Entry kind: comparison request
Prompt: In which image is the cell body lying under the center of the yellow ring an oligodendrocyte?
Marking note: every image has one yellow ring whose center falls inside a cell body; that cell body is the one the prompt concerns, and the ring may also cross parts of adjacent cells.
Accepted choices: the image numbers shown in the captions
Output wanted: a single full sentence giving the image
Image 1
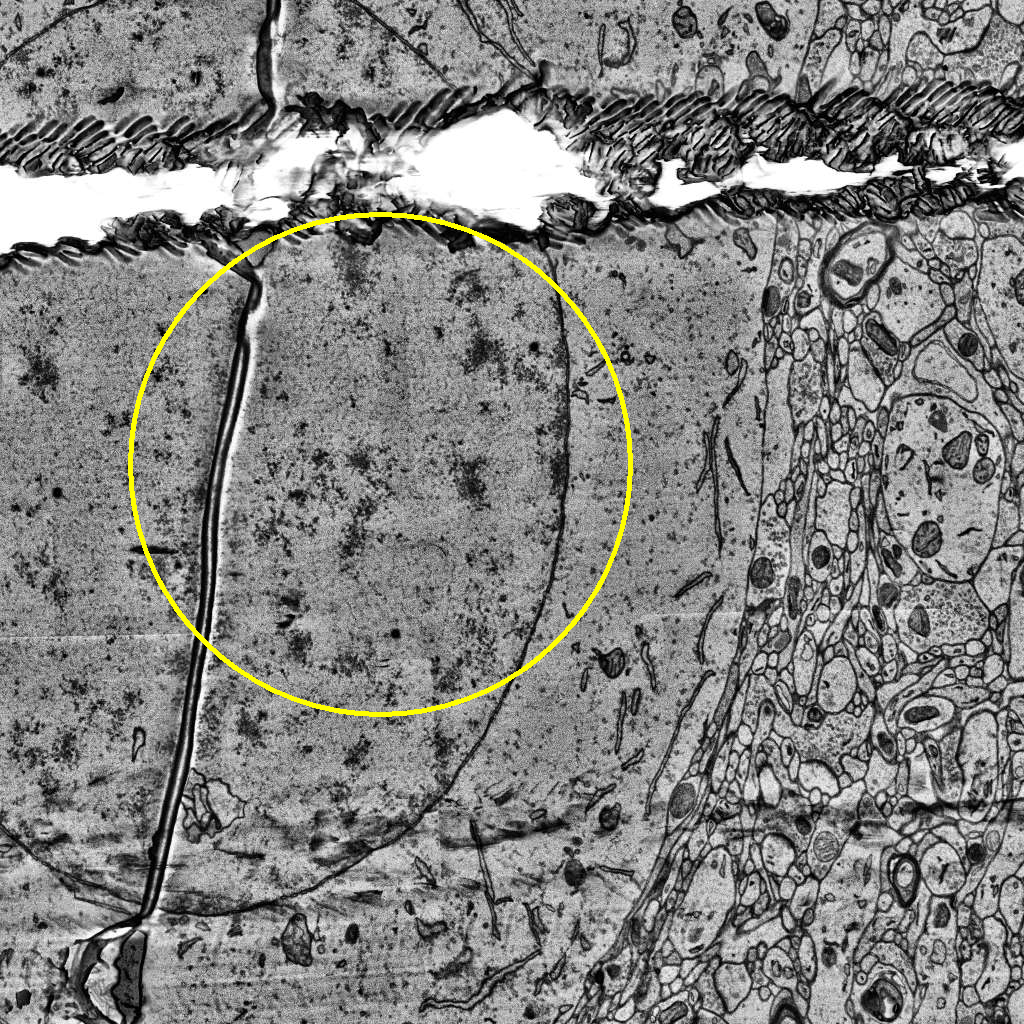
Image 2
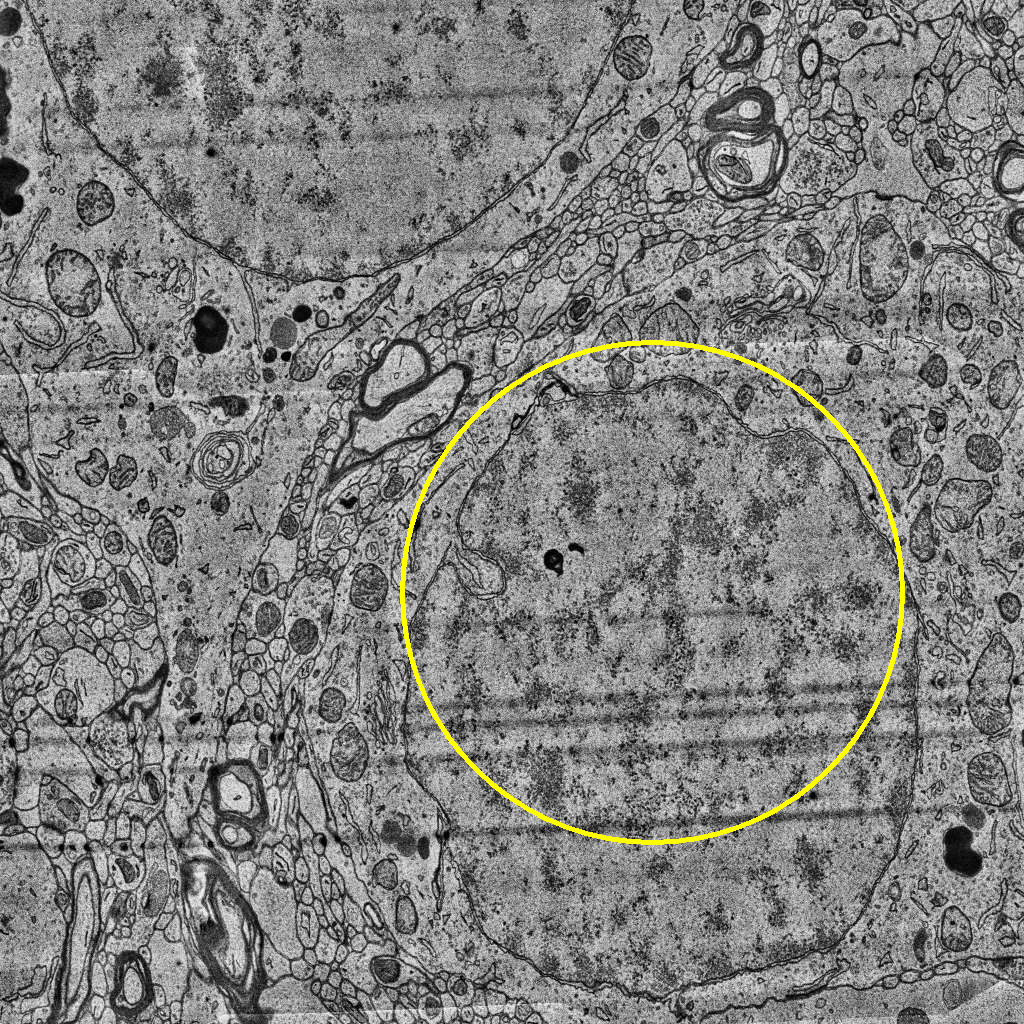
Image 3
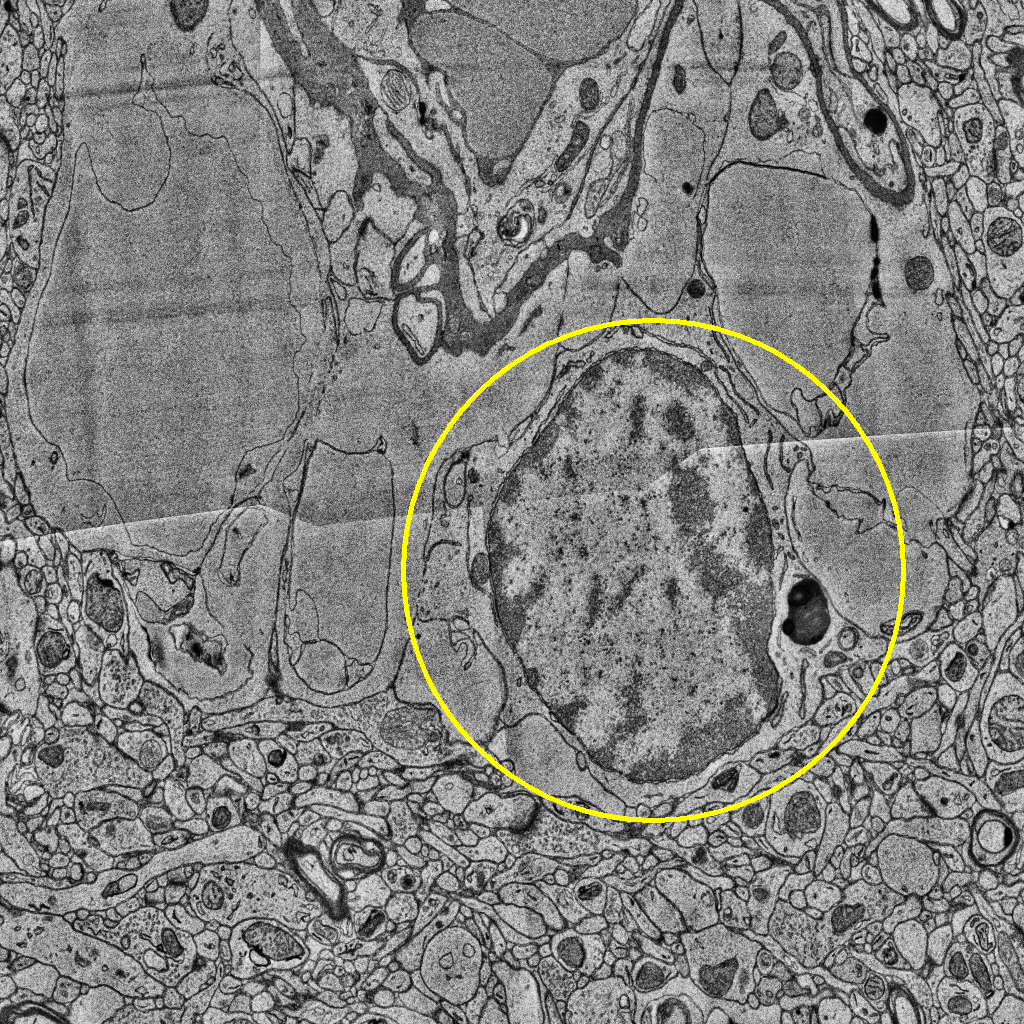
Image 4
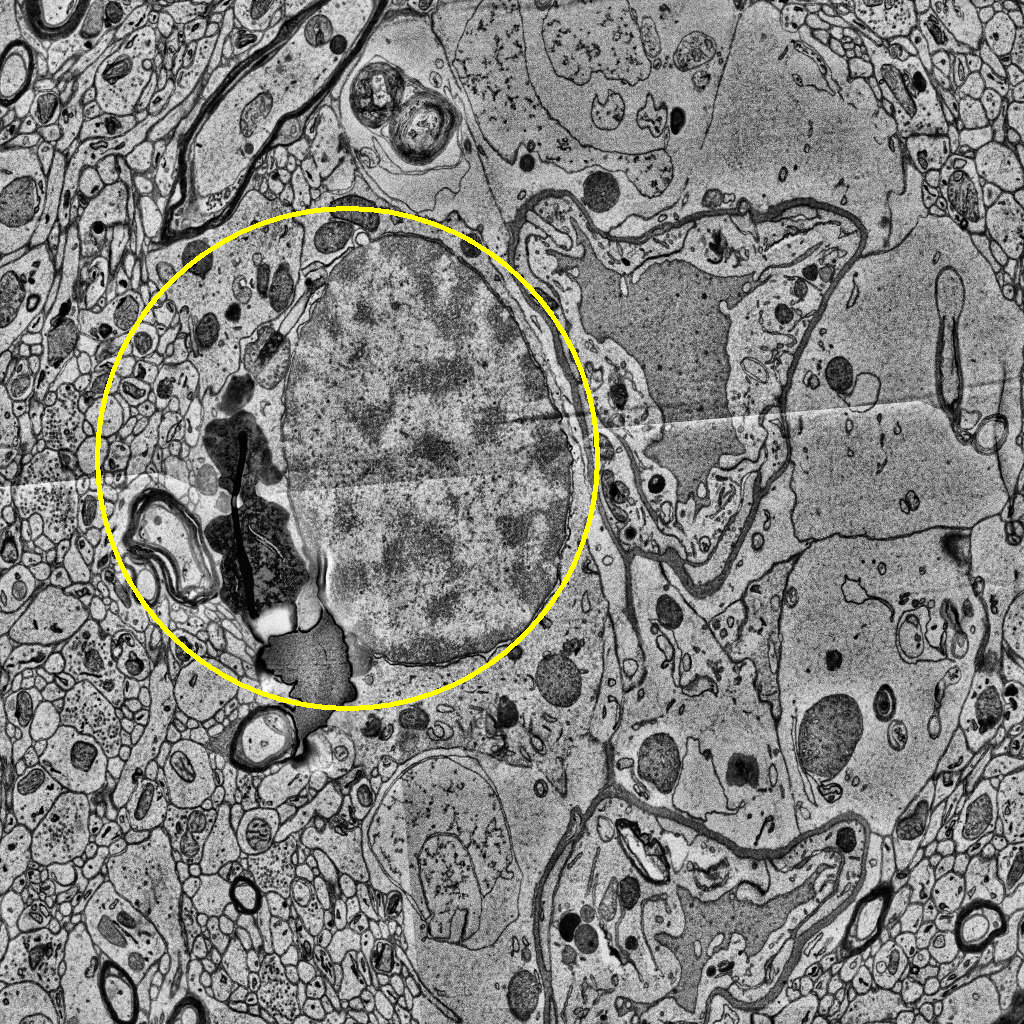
In image 4, the cell holding the center of the yellow ring matches the prompt.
